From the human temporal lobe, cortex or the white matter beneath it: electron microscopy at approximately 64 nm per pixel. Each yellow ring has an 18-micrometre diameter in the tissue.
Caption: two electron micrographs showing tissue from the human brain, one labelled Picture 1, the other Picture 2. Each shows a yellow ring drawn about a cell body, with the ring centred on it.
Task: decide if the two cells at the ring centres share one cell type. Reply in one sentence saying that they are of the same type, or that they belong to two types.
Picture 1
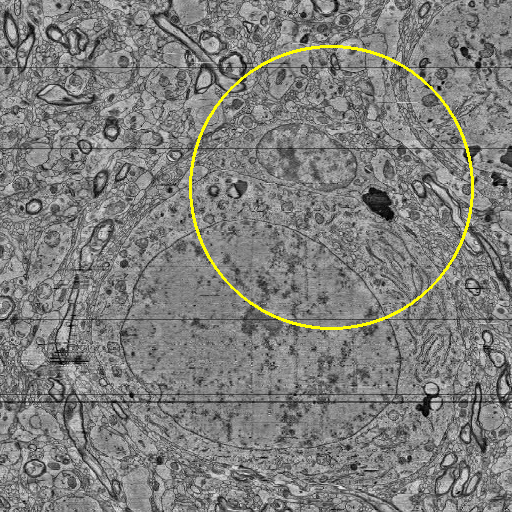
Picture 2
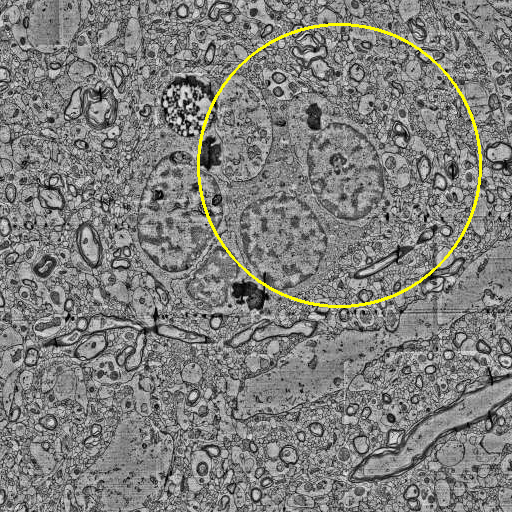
The cells at the ring centres in Picture 1 and Picture 2 are of the same type.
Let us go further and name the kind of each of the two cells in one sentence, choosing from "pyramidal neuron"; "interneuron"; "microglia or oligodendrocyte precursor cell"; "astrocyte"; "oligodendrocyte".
In each of the two pictures, the ringed cell is an oligodendrocyte.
